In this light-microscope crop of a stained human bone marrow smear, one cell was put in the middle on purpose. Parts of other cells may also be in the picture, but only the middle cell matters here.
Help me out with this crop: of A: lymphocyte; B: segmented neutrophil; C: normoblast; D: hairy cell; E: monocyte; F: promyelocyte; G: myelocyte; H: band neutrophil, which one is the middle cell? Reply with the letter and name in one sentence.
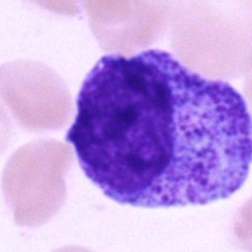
Since the cell in the middle is a promyelocyte, option F is correct.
